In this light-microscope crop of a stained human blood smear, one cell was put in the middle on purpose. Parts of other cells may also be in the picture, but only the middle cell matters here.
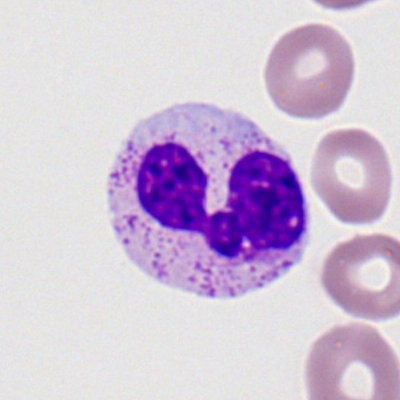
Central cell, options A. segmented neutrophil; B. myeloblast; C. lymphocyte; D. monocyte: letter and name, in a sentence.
That the central cell is a segmented neutrophil makes option A correct.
